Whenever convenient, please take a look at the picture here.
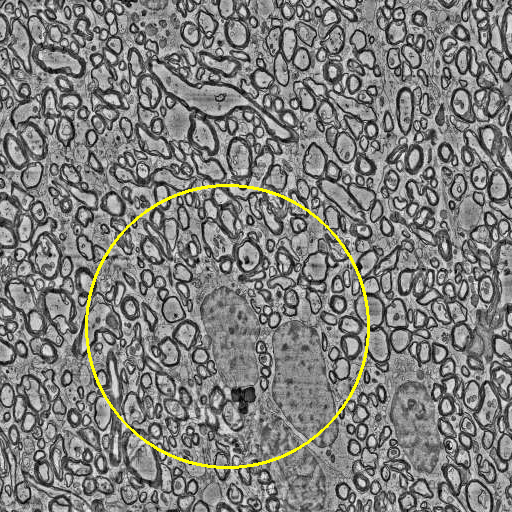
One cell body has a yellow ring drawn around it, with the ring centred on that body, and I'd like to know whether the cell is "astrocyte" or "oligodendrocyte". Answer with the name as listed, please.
oligodendrocyte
